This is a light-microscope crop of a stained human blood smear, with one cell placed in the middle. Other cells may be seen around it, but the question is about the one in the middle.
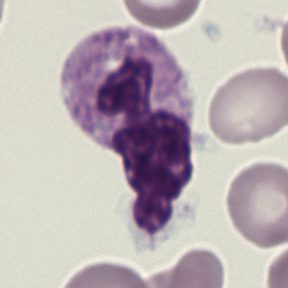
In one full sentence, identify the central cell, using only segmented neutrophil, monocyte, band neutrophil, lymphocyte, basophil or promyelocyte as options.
Centred in the crop is a segmented neutrophil.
